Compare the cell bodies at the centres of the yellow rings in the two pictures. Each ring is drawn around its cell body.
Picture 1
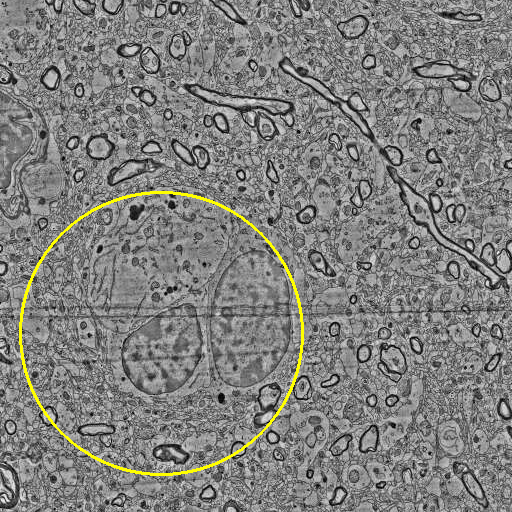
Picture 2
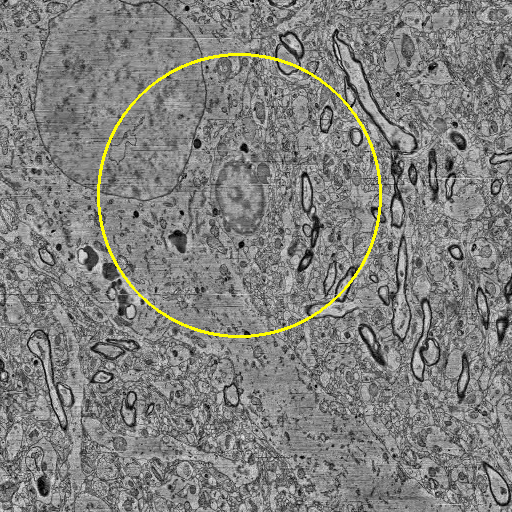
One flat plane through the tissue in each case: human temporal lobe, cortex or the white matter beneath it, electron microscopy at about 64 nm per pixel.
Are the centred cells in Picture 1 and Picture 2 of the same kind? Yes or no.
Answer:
no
